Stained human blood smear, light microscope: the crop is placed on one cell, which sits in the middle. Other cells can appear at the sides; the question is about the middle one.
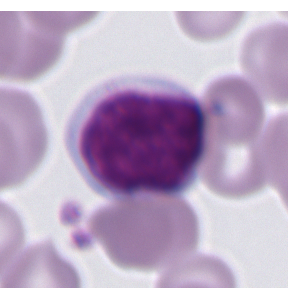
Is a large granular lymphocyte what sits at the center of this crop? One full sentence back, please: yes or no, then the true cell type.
Yes, the central element of the crop is a large granular lymphocyte.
